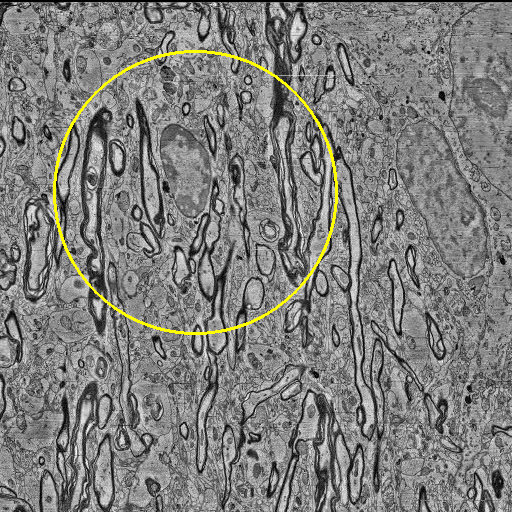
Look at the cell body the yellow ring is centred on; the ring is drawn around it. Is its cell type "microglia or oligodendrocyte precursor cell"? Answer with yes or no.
Yes, that is its cell type.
